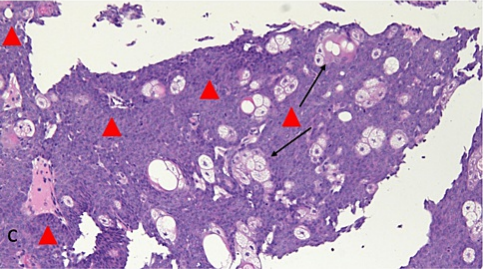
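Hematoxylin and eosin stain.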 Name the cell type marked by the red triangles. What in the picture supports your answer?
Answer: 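Basaloid cells. The marked areas are dense sheets of small dark purple cells. These sheets make up most of the tissue.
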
